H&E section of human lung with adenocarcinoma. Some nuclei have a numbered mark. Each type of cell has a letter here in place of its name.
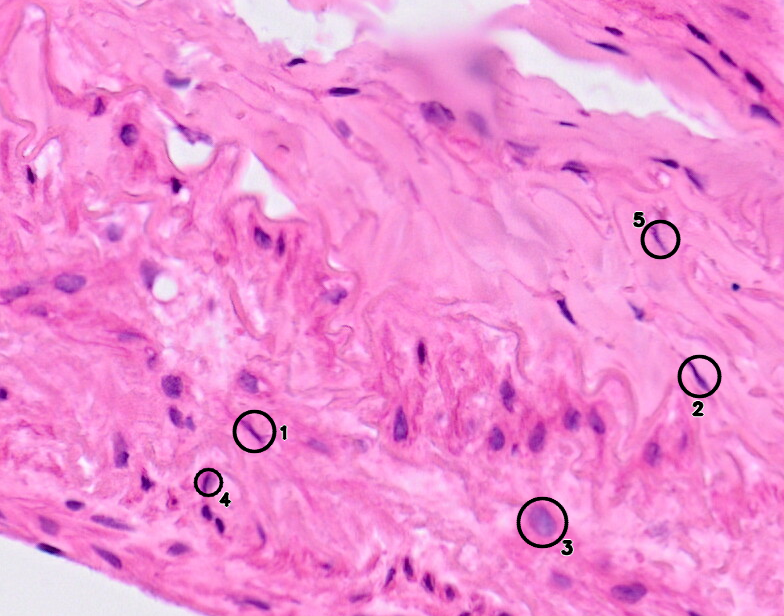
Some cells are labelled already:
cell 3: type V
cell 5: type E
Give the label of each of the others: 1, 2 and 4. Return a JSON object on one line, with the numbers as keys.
{"1": "type V", "2": "type E", "4": "type V"}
